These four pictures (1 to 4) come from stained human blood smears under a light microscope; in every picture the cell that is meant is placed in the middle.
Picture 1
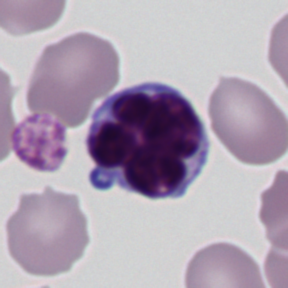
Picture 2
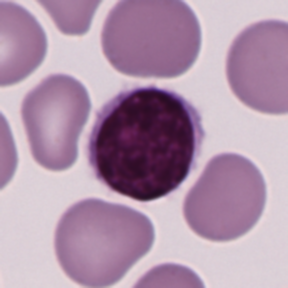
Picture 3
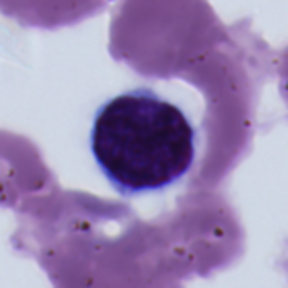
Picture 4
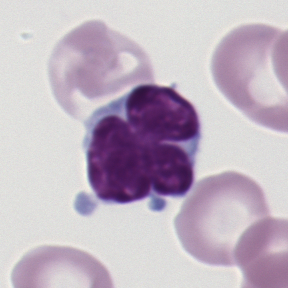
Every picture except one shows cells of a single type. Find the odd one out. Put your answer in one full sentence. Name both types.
Unlike the rest, which show typical lymphocytes, picture 3 shows a hairy cell.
